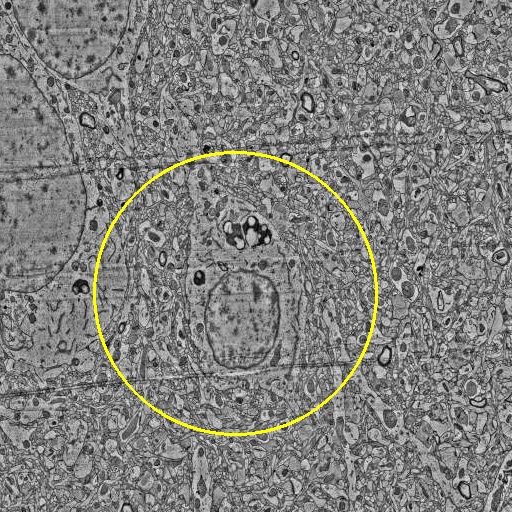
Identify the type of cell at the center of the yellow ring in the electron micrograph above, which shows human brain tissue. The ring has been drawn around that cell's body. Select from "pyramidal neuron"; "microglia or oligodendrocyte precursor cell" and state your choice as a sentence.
The yellow ring is centered on the body of a pyramidal neuron.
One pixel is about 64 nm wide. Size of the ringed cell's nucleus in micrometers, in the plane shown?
In this plane the nucleus measures roughly 7 by 5 micrometers.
